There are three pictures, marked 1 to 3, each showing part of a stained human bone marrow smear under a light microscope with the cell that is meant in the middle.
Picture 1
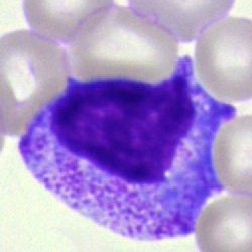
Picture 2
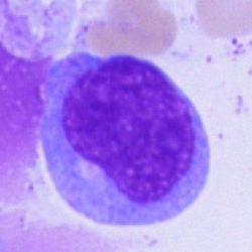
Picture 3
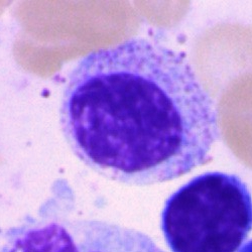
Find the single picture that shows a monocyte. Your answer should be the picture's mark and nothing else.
2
